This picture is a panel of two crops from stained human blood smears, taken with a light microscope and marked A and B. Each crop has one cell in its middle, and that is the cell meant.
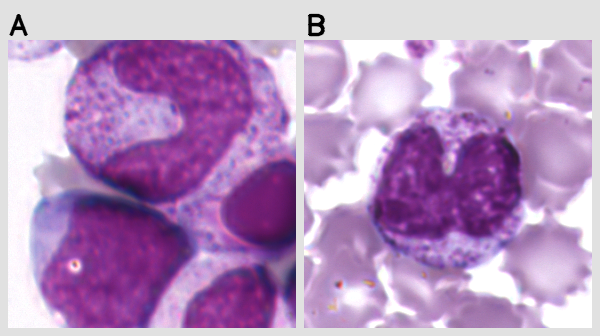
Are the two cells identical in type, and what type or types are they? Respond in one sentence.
Yes, the cells of interest in both crops are band neutrophils.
